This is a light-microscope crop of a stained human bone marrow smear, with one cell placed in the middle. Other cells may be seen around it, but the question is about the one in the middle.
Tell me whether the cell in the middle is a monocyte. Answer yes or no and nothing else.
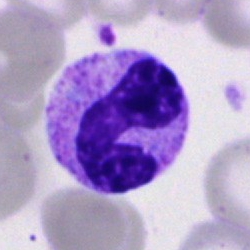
no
